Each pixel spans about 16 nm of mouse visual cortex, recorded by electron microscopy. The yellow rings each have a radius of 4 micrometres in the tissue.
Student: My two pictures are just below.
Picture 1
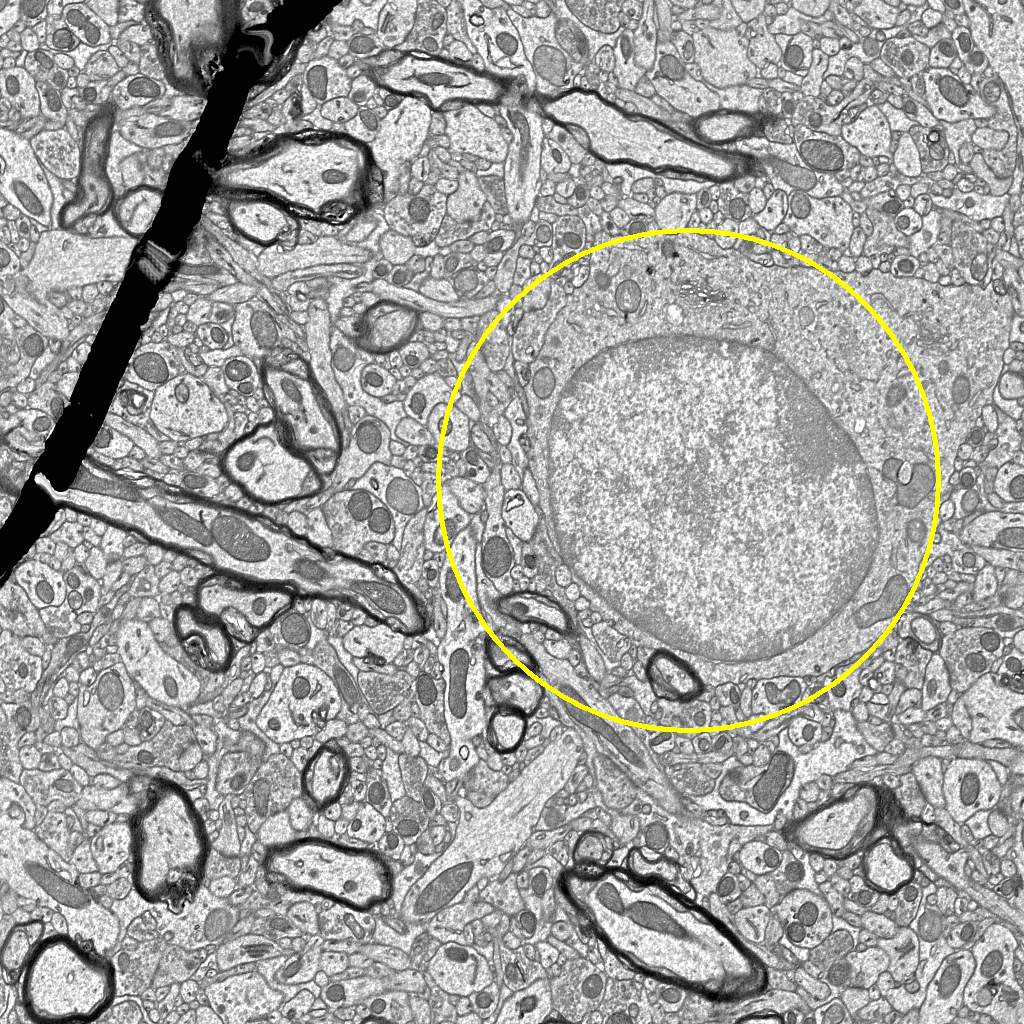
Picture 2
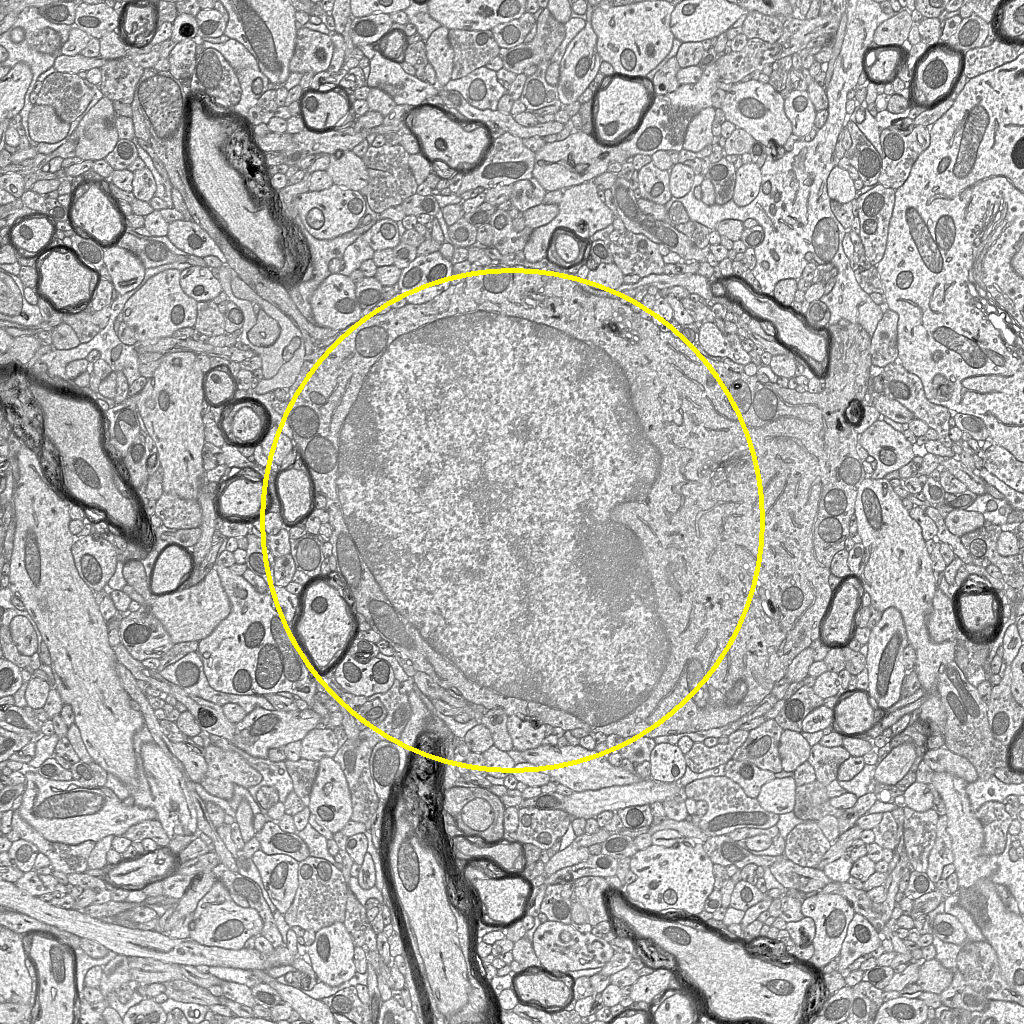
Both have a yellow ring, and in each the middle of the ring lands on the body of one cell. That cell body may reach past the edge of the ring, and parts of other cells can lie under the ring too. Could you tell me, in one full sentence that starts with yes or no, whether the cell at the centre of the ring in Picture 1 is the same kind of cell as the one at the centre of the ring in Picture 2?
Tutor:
Yes, the two cells are of the same kind.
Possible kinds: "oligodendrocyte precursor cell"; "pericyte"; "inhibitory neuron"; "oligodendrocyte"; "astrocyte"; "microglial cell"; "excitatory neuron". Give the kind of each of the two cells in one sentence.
Both rings mark an oligodendrocyte, one in each picture.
